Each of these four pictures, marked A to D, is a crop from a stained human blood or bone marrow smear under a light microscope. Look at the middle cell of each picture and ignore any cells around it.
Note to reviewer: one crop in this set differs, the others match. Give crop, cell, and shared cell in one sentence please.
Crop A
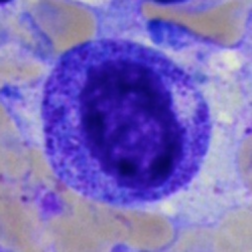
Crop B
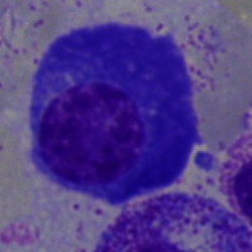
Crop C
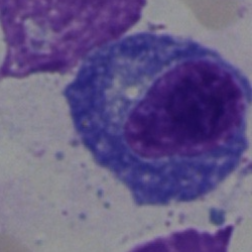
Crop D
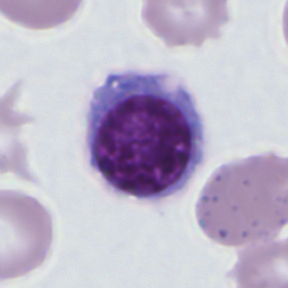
The crops all show plasma cells, with the exception of crop A, which shows a promyelocyte.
